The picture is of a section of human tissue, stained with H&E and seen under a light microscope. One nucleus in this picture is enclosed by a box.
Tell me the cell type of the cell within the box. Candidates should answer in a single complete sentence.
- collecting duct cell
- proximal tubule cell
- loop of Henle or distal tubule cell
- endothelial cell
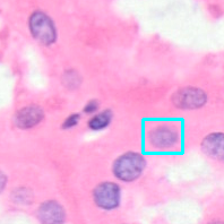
In short, the cell within the box on this section is a loop of Henle or distal tubule cell.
